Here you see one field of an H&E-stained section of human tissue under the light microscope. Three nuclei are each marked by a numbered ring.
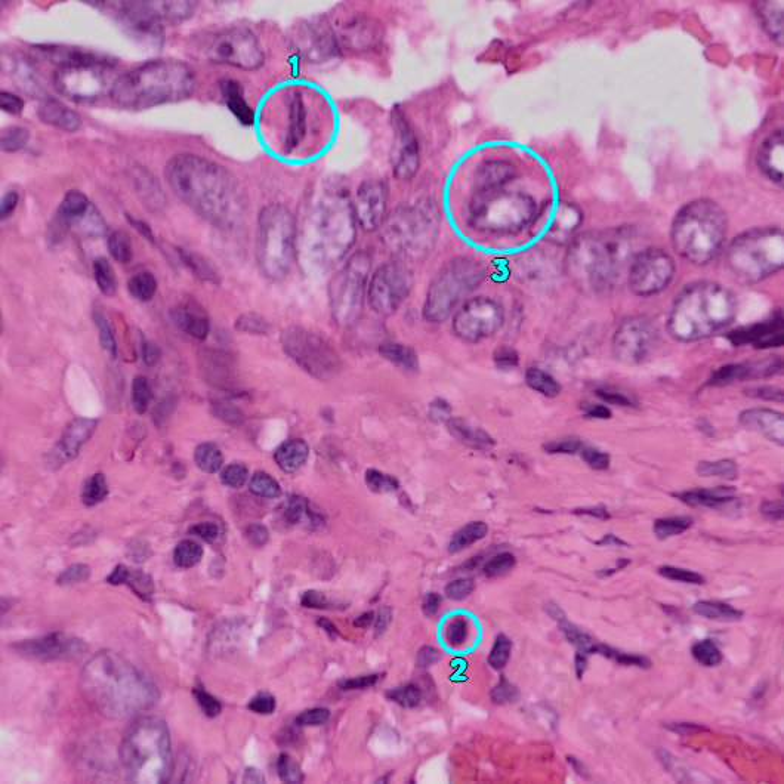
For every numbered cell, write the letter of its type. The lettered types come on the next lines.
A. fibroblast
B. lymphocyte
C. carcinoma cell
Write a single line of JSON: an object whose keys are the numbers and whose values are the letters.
{"1": "C", "2": "B", "3": "C"}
